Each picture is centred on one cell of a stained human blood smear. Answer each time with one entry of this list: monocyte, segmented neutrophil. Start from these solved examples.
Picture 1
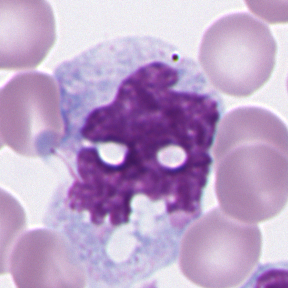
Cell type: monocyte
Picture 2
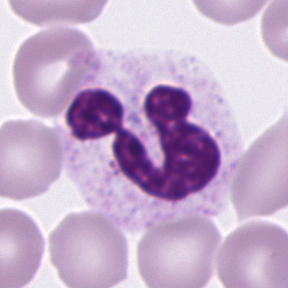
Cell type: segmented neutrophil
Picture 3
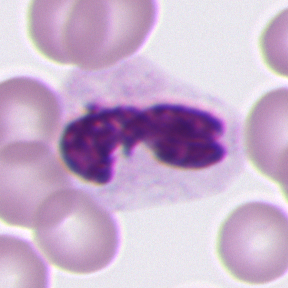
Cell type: segmented neutrophil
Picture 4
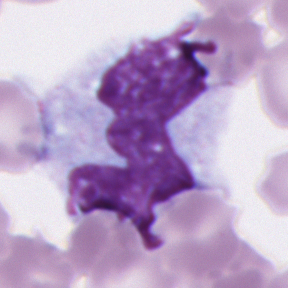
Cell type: monocyte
